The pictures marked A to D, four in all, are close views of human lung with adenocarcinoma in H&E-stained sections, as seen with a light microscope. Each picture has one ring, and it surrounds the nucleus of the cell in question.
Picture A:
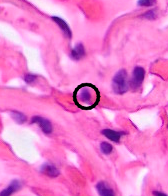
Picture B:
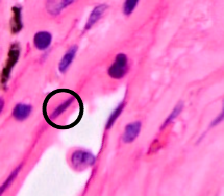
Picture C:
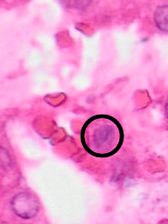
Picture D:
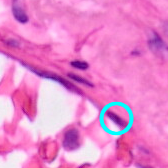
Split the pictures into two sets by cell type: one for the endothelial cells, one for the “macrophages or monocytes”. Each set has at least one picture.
A: endothelial cell
B: endothelial cell
C: macrophage or monocyte
D: endothelial cell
